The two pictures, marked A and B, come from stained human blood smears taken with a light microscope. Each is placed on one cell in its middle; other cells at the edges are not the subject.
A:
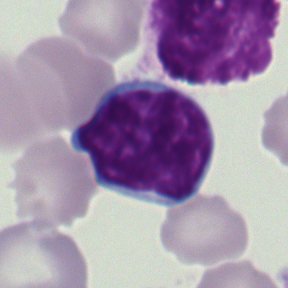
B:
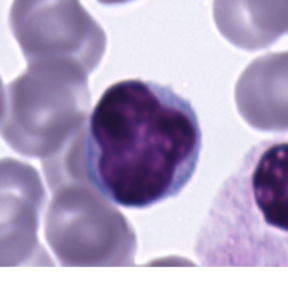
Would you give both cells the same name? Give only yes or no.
yes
